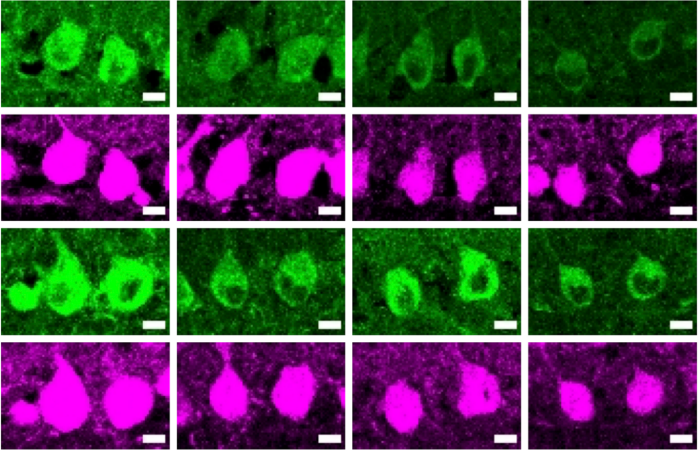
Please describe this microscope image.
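Cerebellar cortex with Purkinje cells is shown in a grid of paired fluorescence images. In the magenta images, large rounded to pear-shaped Purkinje cell bodies lie side by side in a single row, their cytoplasm filled uniformly, with thick primary dendrite trunks tapering upward from several of them and a fine speckled magenta neuropil around. In the matching green images, the same cell bodies show a ring of granular cytoplasmic label surrounding a dark, unstained round nucleus, while the surrounding neuropil carries fainter diffuse green. Dark gaps between cell bodies mark unlabeled neighbouring tissue.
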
